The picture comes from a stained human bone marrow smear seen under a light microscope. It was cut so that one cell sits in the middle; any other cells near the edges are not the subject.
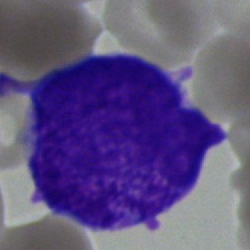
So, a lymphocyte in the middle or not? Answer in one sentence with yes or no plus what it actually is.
No, the cell found centrally in the crop is a blast, not a lymphocyte.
